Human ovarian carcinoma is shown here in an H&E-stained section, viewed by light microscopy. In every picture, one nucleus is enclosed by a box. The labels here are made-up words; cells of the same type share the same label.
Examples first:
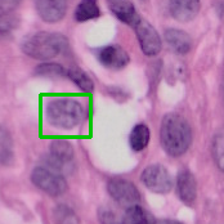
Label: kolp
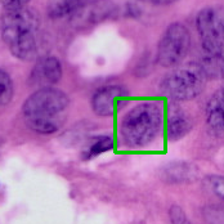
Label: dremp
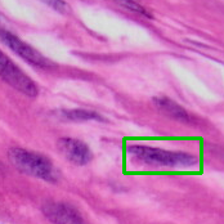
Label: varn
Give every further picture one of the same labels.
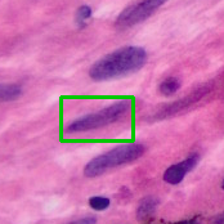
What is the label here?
varn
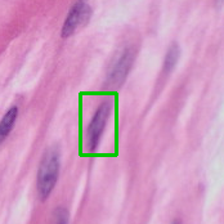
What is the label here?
varn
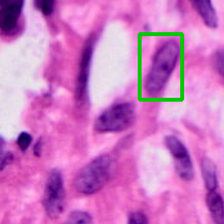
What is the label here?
varn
